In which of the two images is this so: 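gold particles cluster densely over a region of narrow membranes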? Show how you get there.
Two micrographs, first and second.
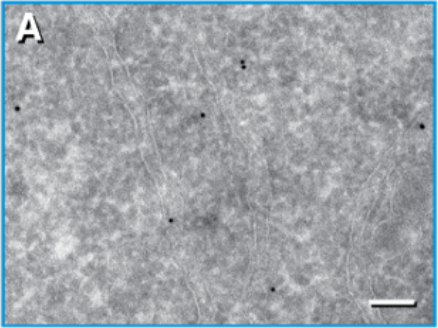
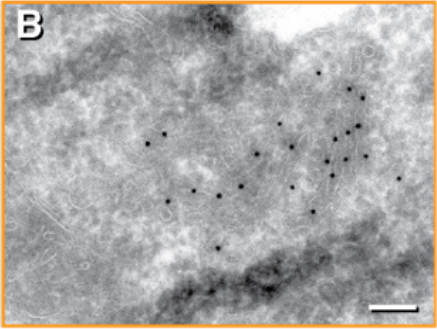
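Second image: dozens of black gold particles crowd together in the centre among many small curved membrane profiles. First image: only a few isolated black gold particles lie scattered across the field. So: the second image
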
